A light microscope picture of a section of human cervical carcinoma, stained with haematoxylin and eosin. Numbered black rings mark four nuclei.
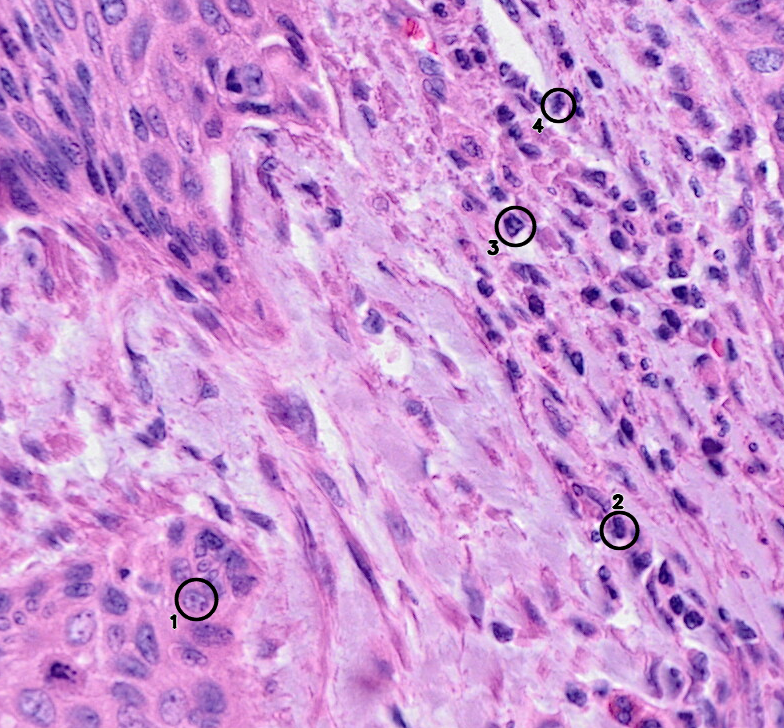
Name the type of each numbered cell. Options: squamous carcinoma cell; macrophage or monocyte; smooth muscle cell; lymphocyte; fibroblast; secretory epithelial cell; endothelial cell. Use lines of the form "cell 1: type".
cell 1: squamous carcinoma cell
cell 2: lymphocyte
cell 3: lymphocyte
cell 4: lymphocyte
